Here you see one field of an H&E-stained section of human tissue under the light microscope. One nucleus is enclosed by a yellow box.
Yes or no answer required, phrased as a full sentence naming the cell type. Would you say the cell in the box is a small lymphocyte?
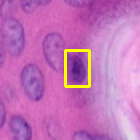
No; the cell in the box should be labelled a suprabasal keratinocyte rather than a small lymphocyte.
